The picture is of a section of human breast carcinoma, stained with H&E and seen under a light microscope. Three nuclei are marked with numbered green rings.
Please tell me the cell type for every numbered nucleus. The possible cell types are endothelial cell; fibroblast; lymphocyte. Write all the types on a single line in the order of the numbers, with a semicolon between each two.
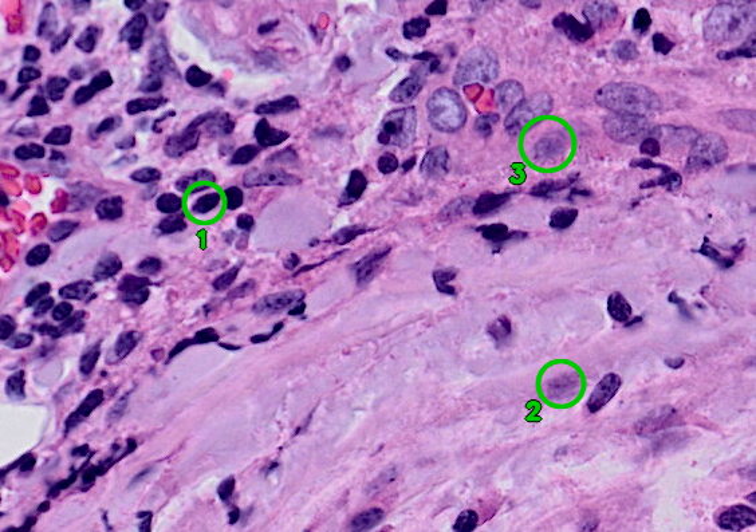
lymphocyte; fibroblast; endothelial cell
